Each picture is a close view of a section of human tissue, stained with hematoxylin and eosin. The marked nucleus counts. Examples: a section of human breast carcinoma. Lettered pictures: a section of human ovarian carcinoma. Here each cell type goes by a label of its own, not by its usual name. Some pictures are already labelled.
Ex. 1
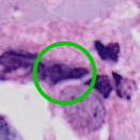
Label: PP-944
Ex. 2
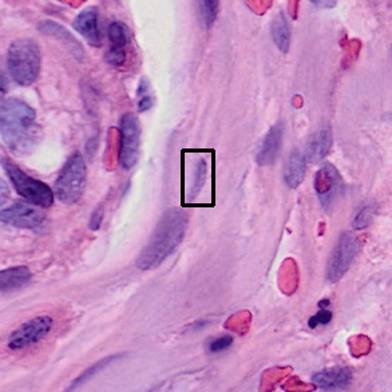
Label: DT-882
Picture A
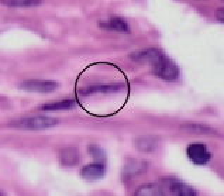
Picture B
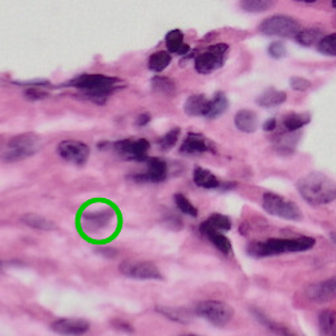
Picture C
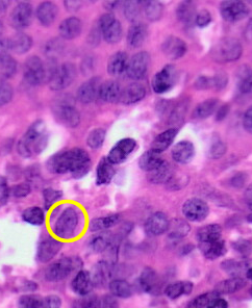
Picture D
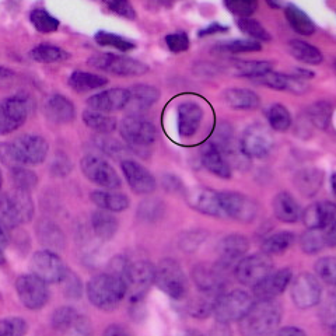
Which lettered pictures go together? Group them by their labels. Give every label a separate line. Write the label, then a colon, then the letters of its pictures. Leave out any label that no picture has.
PP-944: C, D
DT-882: A, B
